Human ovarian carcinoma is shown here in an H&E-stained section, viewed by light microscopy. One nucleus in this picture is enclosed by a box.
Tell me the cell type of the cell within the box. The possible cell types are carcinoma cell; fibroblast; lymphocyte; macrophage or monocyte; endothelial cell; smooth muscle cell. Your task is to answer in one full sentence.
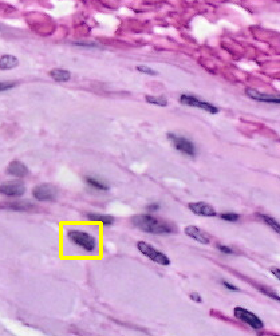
Typologically, the cell within the box is a lymphocyte in this section.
